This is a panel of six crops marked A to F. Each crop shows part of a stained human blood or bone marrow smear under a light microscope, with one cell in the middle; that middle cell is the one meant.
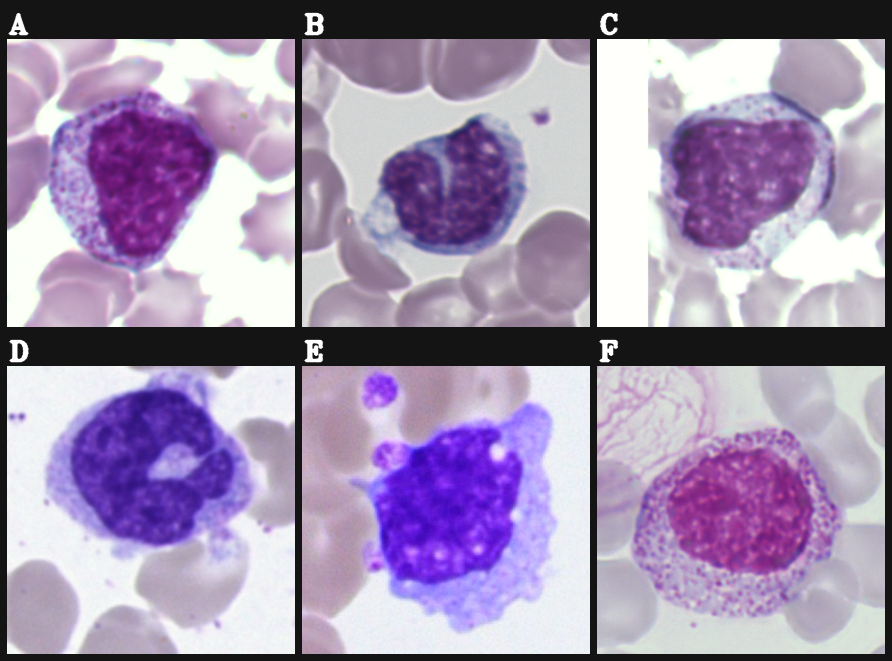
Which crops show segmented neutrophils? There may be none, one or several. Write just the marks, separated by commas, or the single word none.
none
